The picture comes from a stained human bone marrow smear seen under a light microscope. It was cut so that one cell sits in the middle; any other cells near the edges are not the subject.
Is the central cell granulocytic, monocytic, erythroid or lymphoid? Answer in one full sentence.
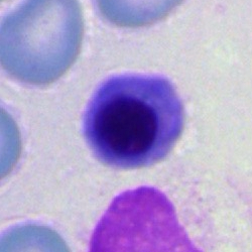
The cell in the center of the crop is counted in the erythroid lineage.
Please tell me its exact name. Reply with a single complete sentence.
This crop's central cell is an erythroblast.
